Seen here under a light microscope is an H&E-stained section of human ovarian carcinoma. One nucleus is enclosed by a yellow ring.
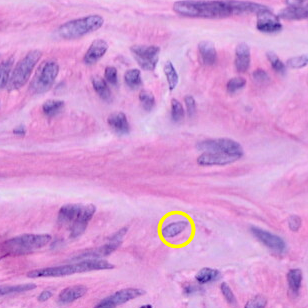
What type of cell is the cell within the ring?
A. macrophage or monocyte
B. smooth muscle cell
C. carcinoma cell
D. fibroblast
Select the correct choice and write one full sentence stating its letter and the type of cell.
It is option B that correctly calls the cell within the ring a smooth muscle cell.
